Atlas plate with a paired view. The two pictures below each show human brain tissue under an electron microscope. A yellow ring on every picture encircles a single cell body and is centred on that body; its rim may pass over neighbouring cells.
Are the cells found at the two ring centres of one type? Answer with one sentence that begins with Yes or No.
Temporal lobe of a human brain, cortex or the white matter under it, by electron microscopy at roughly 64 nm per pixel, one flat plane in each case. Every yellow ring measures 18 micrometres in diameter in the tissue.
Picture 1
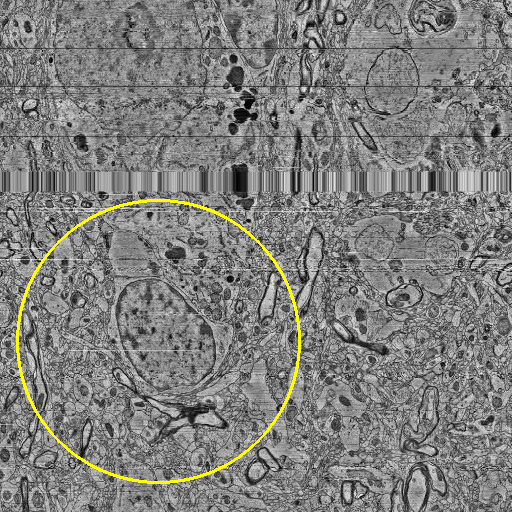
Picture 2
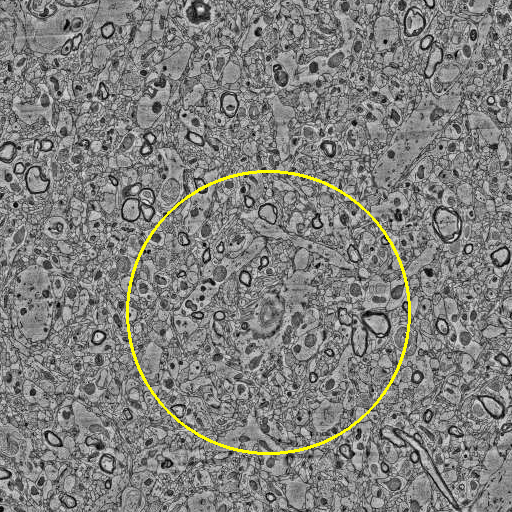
No, the two cells lying at the centres of the rings are of two types.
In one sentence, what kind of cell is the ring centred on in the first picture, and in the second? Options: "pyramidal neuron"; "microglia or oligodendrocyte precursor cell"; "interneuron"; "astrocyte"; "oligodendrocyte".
The cell at the centre of the second ring is an oligodendrocyte; the first ring's cell is a microglial cell or oligodendrocyte precursor cell.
